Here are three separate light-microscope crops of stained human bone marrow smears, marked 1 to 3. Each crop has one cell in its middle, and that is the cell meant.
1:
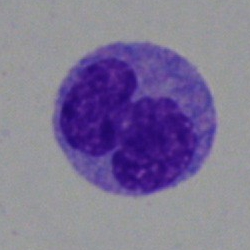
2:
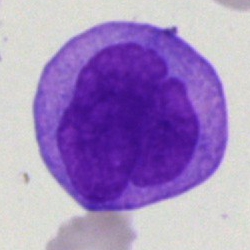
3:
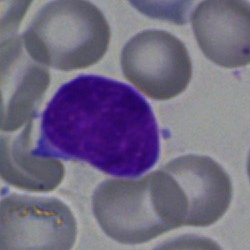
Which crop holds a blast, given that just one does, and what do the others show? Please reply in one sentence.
In the set, crop 2 shows a blast, whereas crop 1 is a monocyte and crop 3 is a lymphocyte.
